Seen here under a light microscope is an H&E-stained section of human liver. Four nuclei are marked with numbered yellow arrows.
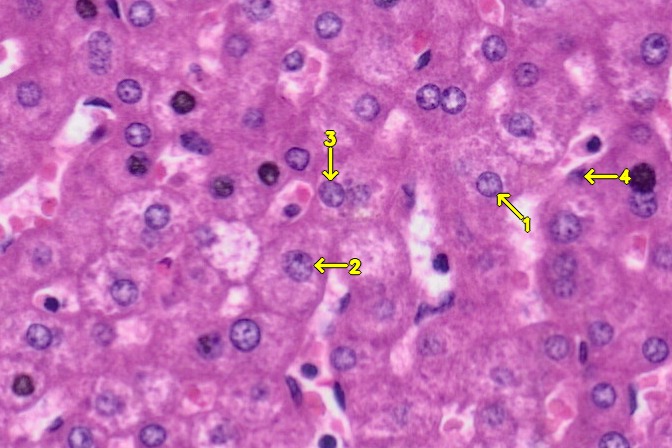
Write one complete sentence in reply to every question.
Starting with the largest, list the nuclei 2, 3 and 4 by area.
By area, largest first, they run 2, 3, 4.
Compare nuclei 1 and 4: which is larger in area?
The larger nucleus is 1, at roughly 2.5 times the area of 4.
